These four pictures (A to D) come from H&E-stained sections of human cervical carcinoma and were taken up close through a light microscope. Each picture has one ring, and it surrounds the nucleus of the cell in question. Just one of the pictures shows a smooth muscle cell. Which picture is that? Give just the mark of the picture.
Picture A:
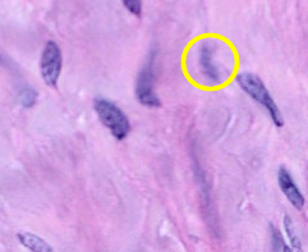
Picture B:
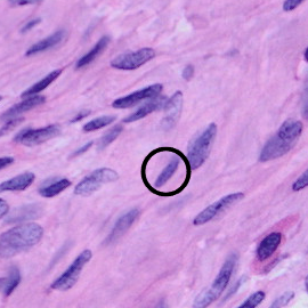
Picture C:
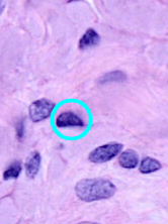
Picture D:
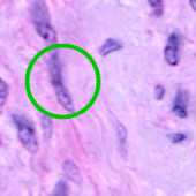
D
